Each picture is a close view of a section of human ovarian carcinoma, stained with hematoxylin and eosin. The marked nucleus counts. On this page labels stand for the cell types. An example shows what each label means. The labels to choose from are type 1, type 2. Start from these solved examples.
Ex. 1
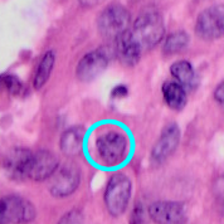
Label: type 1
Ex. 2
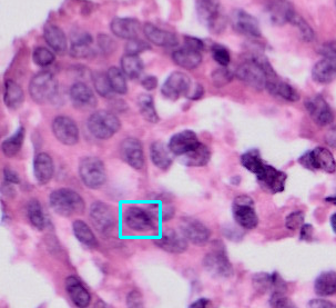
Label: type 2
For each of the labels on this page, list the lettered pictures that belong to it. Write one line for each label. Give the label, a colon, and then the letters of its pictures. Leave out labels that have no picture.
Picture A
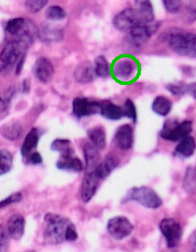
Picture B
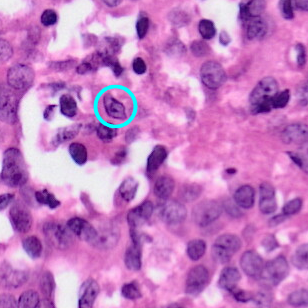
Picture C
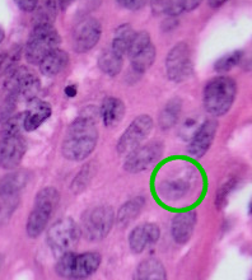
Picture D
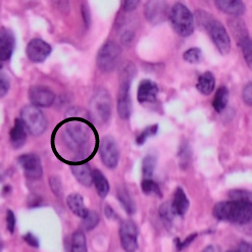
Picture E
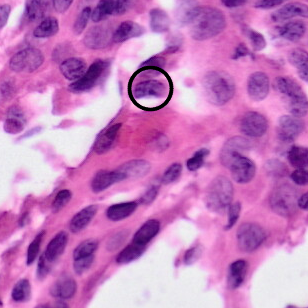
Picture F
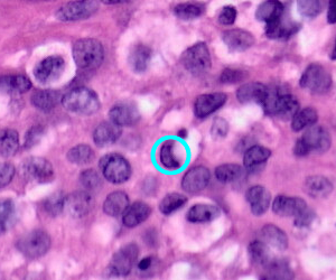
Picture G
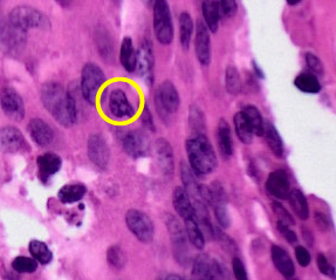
type 1: B, E, F, G
type 2: A, C, D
